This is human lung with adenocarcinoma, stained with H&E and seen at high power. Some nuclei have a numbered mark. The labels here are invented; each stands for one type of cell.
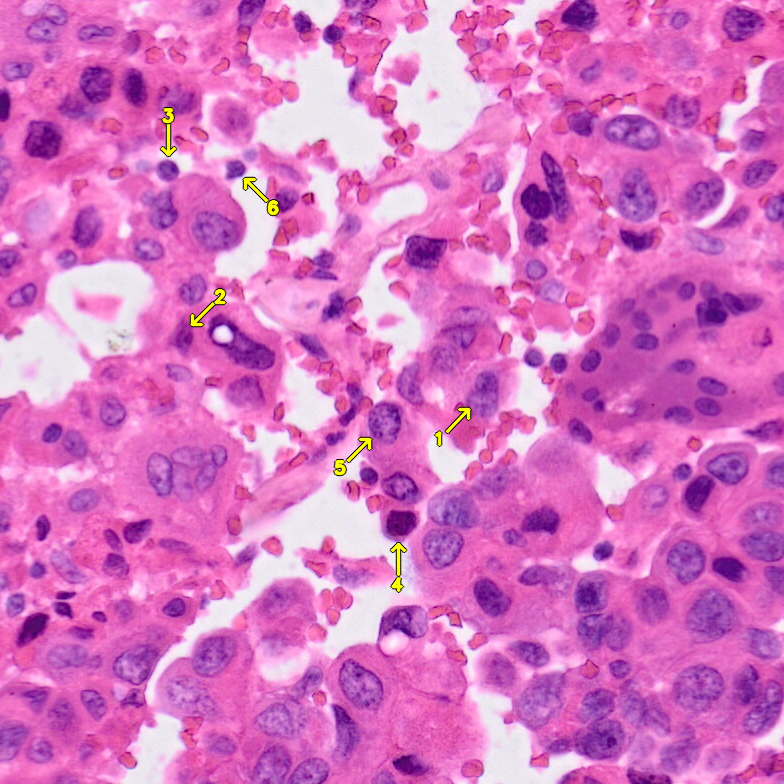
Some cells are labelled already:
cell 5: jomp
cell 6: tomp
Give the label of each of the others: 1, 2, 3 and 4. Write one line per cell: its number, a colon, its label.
1: jomp
2: jomp
3: tomp
4: jomp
